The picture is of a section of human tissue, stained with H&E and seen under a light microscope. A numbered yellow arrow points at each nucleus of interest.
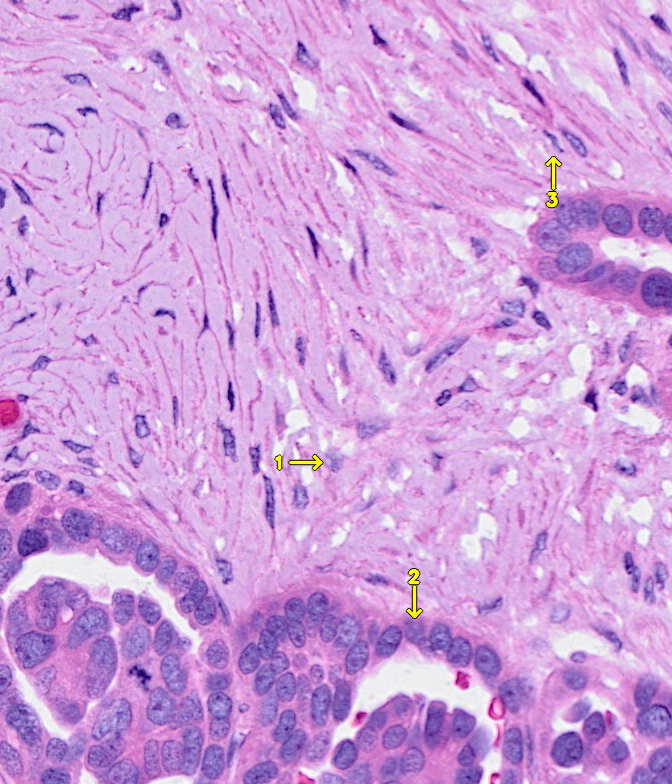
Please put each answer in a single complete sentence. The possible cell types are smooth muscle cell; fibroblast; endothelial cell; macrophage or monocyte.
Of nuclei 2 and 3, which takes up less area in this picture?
It is nucleus 3; nucleus 2 has about 3 times its area.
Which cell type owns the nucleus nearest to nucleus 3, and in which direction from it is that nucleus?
Just to the right of nucleus 3 lies the nearest nucleus, which belongs to a fibroblast.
